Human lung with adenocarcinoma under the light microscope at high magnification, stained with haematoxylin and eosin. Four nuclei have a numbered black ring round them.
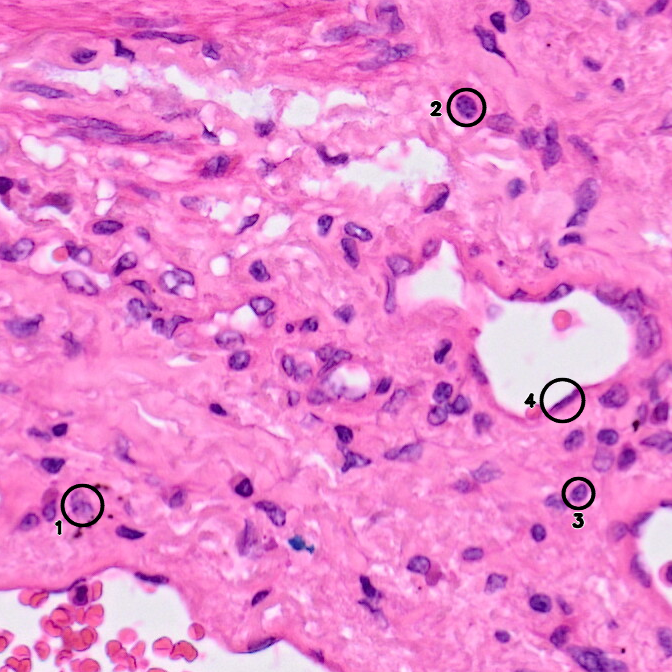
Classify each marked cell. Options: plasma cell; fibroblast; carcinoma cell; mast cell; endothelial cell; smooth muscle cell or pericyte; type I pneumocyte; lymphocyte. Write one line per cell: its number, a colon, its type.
1: fibroblast
2: mast cell
3: lymphocyte
4: endothelial cell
